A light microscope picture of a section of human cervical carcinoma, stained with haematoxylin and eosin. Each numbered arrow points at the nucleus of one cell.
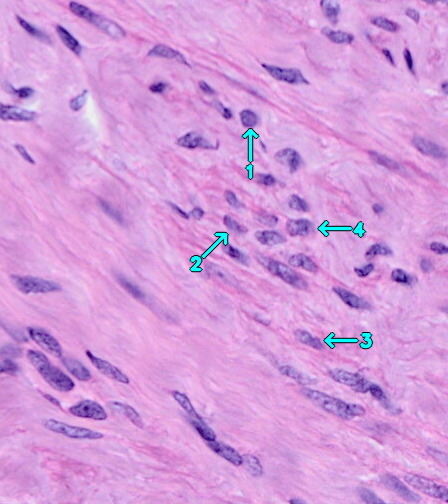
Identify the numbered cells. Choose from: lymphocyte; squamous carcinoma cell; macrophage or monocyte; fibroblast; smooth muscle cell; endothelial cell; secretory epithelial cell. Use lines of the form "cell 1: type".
cell 1: fibroblast
cell 2: smooth muscle cell
cell 3: smooth muscle cell
cell 4: smooth muscle cell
